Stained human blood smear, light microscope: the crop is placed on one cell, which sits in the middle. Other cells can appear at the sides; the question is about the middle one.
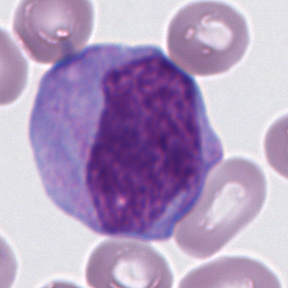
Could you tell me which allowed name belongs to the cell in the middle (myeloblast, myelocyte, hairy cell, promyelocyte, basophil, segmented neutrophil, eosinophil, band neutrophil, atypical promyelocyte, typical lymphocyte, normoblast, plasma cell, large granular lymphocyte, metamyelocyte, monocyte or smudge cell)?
atypical promyelocyte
